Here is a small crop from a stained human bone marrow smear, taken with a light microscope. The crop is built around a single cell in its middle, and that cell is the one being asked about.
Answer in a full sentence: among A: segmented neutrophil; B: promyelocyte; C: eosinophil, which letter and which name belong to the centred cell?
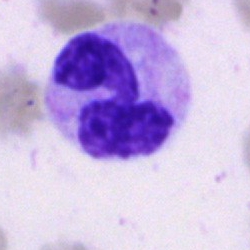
The central cell, a segmented neutrophil, is correctly identified by option A.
